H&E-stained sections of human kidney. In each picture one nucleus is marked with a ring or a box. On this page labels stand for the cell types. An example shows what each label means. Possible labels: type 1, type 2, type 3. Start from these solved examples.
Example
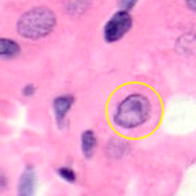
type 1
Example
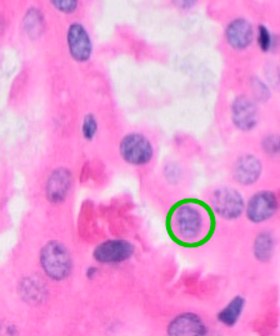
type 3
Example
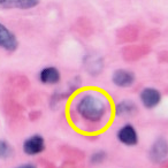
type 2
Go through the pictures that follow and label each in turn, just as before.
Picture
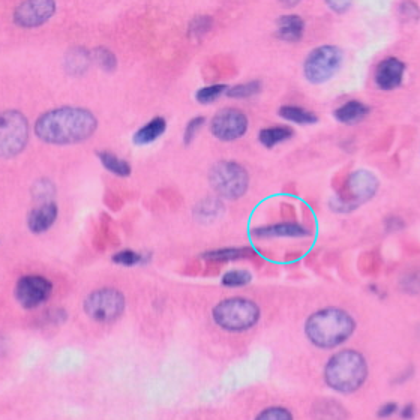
type 2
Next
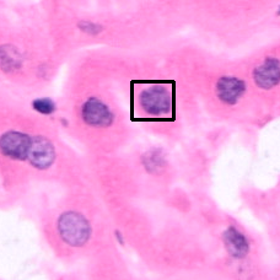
type 1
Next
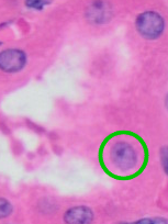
type 1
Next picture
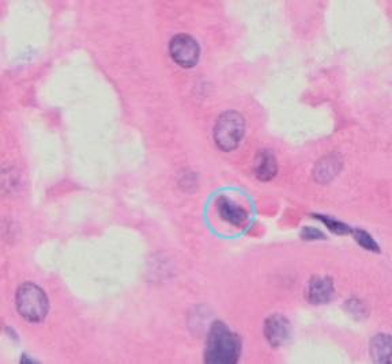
type 2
